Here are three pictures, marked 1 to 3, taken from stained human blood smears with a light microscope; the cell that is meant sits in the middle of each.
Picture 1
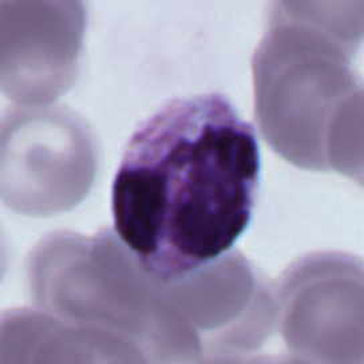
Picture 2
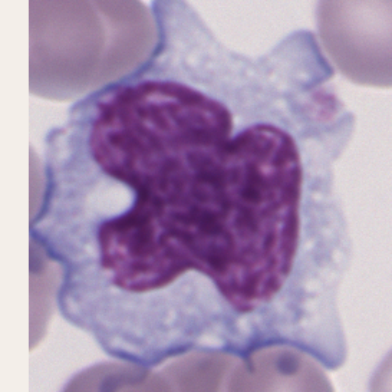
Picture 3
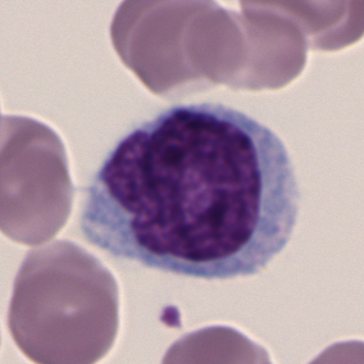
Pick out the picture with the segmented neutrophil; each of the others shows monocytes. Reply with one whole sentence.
It is picture 1 that shows the segmented neutrophil.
